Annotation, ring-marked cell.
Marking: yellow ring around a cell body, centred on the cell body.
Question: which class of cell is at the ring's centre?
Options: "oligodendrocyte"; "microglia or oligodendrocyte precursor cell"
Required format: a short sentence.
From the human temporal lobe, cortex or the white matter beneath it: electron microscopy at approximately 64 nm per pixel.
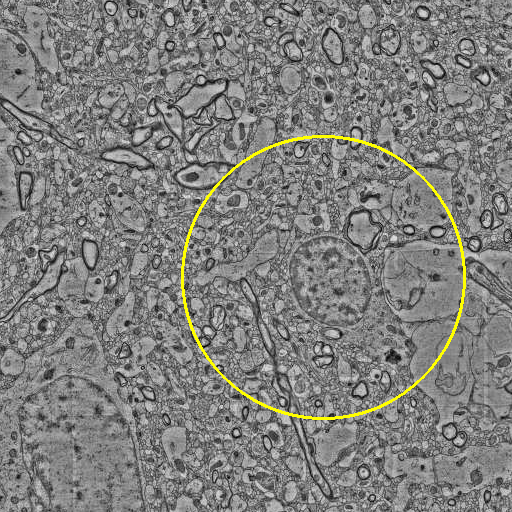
At the ring's centre is an oligodendrocyte.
